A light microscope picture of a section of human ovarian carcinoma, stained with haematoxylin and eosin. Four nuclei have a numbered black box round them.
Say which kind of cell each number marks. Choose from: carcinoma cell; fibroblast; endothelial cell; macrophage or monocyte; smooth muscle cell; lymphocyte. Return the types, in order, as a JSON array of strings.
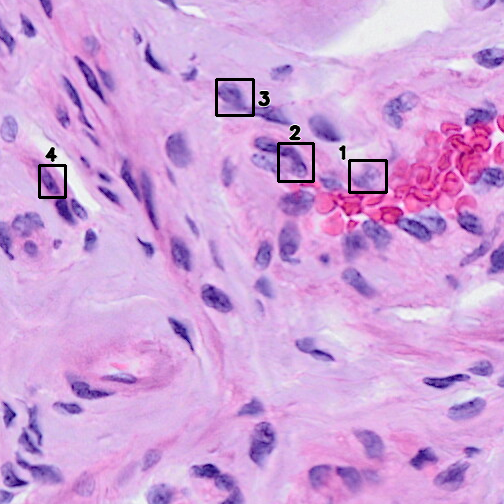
["endothelial cell", "endothelial cell", "fibroblast", "endothelial cell"]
